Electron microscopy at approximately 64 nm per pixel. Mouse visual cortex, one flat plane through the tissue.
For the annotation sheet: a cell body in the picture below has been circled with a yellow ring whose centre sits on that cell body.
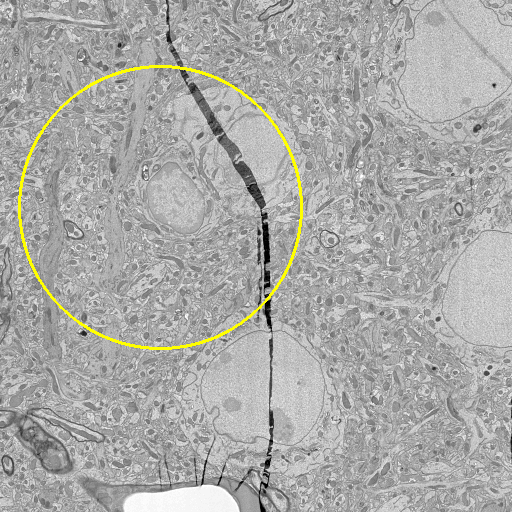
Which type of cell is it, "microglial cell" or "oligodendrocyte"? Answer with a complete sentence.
The circled cell is a microglial cell.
